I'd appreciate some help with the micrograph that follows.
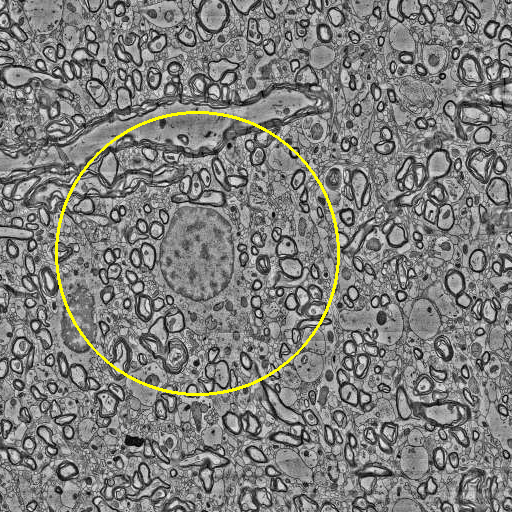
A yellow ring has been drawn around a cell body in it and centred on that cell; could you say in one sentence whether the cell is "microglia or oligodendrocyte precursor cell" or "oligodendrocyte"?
It is an oligodendrocyte at the centre of the ring.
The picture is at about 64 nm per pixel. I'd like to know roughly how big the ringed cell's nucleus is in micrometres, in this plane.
In this plane the nucleus measures roughly 6 by 5 micrometres.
